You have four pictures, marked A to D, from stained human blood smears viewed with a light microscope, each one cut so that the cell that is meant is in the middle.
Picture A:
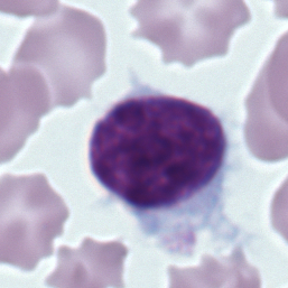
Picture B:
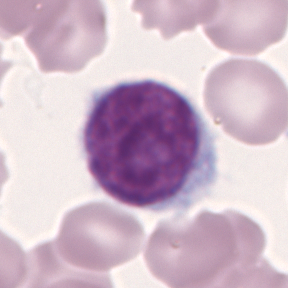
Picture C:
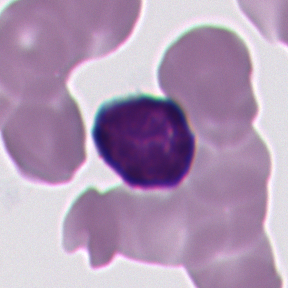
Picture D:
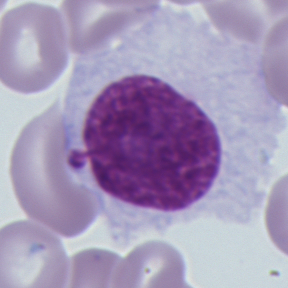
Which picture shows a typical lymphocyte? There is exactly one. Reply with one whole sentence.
The typical lymphocyte is the one in picture C.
